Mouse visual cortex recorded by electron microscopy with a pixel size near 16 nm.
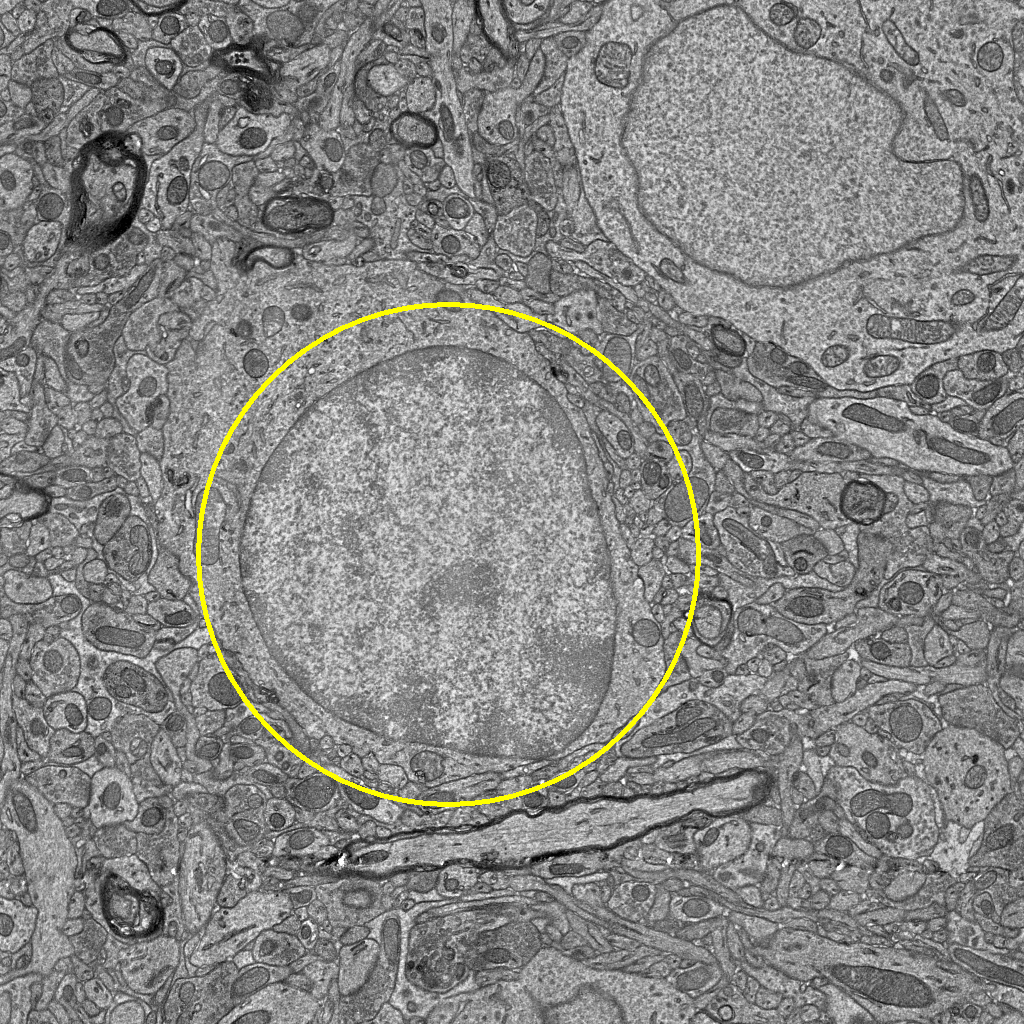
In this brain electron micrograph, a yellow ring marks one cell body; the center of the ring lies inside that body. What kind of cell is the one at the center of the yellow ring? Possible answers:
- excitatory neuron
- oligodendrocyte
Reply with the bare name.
oligodendrocyte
